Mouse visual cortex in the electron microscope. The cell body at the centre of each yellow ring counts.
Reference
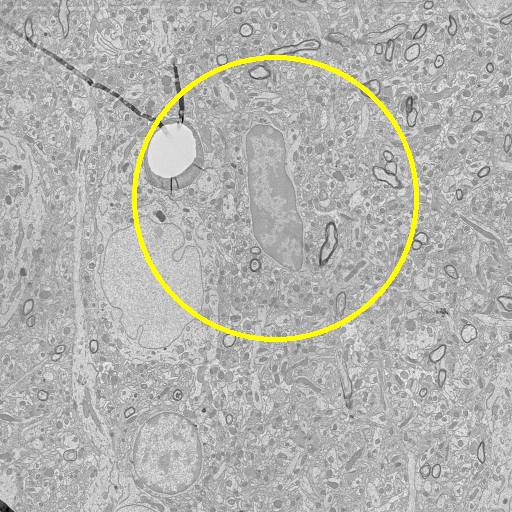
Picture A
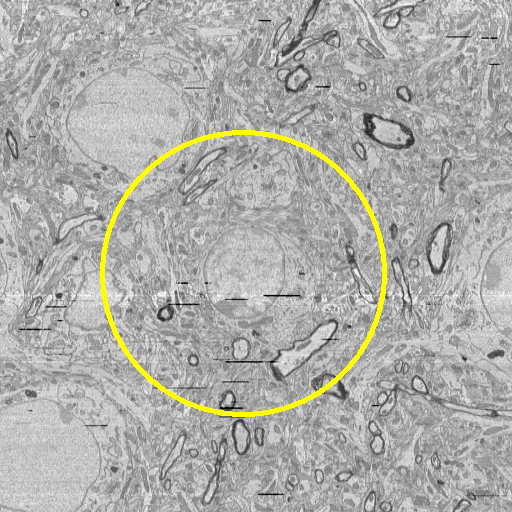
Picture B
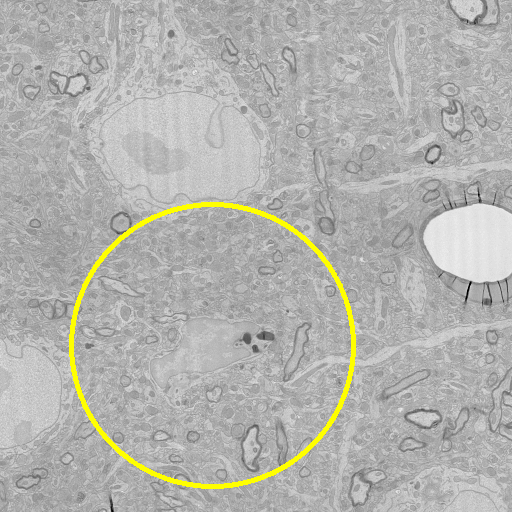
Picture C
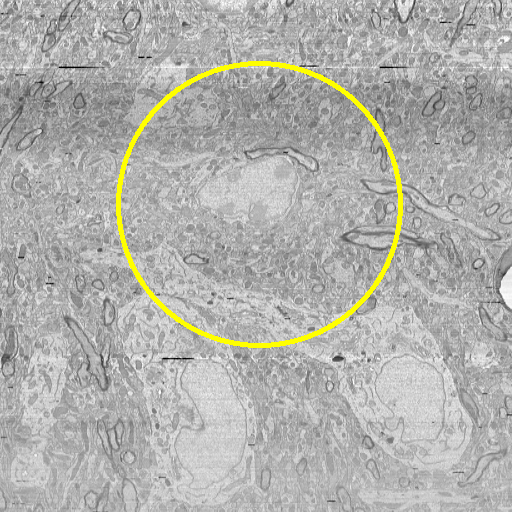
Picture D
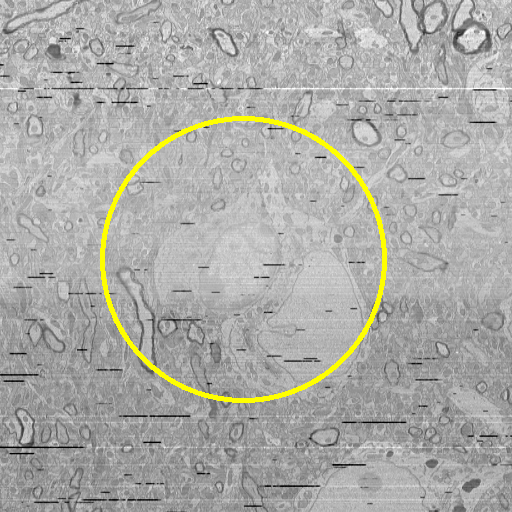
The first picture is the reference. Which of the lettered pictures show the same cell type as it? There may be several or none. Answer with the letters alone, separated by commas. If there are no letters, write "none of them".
B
